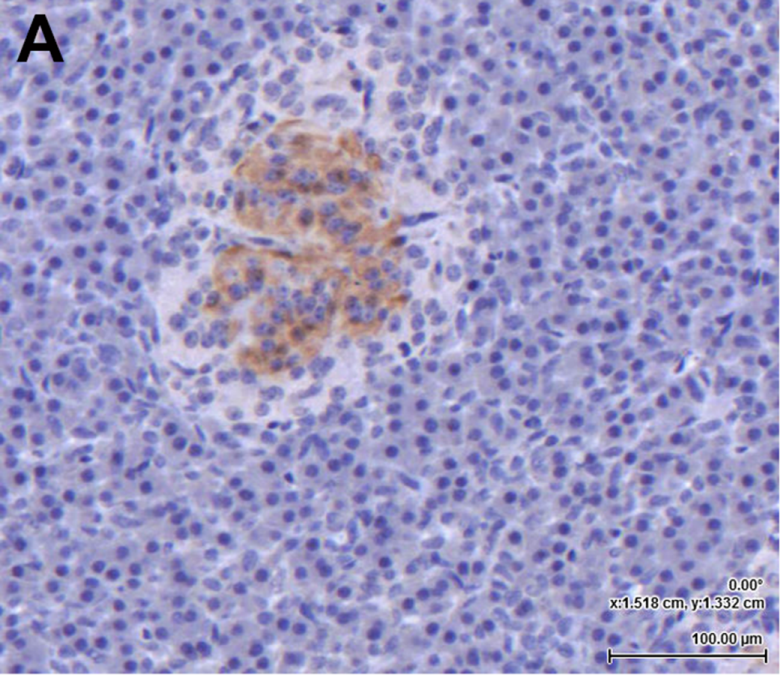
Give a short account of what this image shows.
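This is pancreatic tissue in which a single islet stands out within the surrounding exocrine gland. The islet is a compact, lobulated cluster of cells left of centre, set in a paler zone that separates it from the densely packed tissue around it. Brown stain fills the cytoplasm of many of the islet cells, while their round nuclei remain blue.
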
